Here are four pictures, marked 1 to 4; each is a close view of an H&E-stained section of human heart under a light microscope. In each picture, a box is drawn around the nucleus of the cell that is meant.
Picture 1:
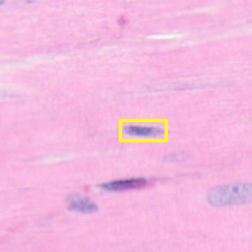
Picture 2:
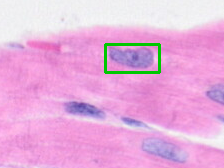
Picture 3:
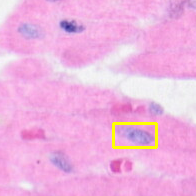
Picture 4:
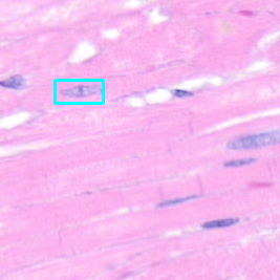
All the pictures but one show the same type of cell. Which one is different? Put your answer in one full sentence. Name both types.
Picture 1 is the odd one out: it shows an endothelial cell, while the others show cardiomyocytes.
